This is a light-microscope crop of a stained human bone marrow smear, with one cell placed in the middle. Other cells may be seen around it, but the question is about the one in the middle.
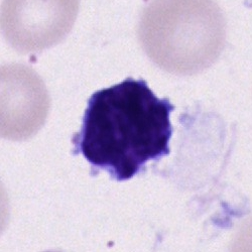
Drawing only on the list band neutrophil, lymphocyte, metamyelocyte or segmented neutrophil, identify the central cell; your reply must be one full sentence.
Standing at the centre of this crop is a lymphocyte.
